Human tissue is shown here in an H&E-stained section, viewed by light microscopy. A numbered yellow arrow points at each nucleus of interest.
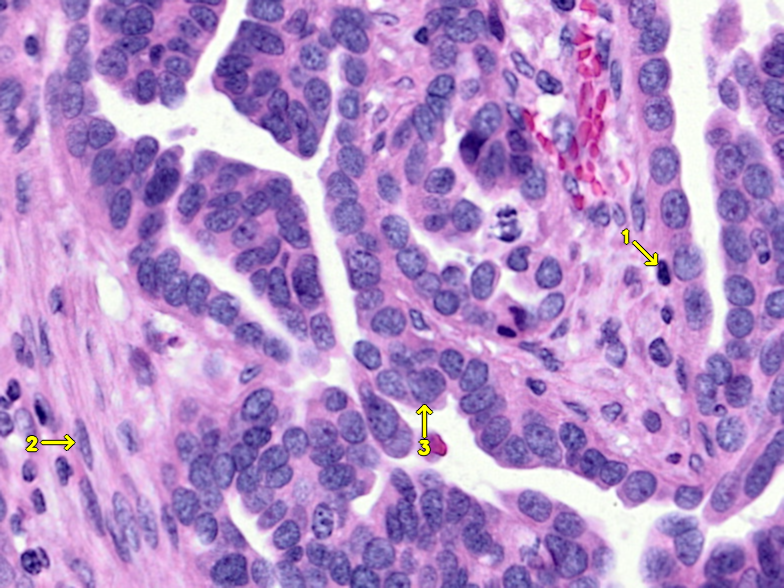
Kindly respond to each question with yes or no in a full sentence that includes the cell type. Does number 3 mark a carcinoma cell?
Yes, in this tissue section, number 3 is a carcinoma cell.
